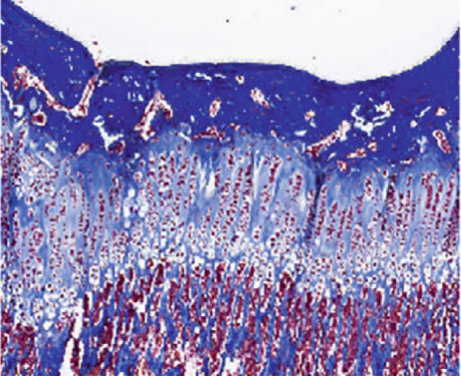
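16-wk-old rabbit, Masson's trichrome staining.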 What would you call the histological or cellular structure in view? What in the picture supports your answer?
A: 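Vertical columns of cells run down the middle of the panel. The cells in the columns lie in pale blue cartilage matrix. On this evidence: columns of enlarged chondrocytes.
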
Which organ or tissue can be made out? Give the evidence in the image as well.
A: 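A band of blue-stained cartilage crosses the panel between denser tissue above and red-rich tissue below. Cells in the middle band are lined up in vertical rows running toward the lower zone.
Answer: growth plate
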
